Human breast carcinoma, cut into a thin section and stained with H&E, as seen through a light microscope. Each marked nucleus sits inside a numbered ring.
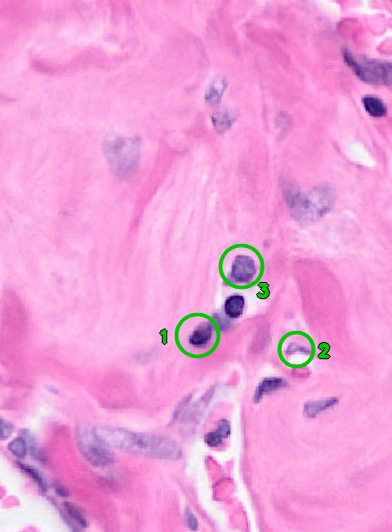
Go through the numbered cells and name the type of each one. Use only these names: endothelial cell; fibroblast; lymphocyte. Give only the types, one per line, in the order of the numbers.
lymphocyte
endothelial cell
lymphocyte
